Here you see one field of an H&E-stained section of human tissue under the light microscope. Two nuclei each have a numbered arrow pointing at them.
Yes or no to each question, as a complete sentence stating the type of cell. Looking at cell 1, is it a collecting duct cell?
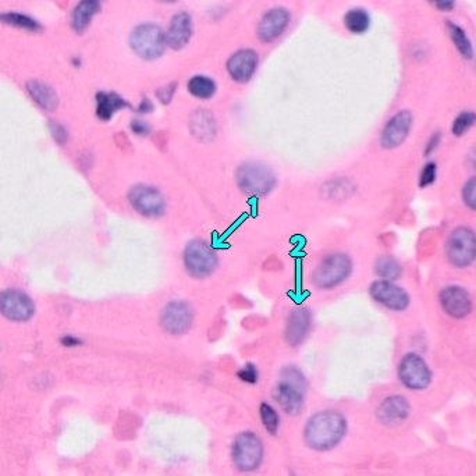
No, cell 1 is not a collecting duct cell: it is a loop of Henle or distal tubule cell.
